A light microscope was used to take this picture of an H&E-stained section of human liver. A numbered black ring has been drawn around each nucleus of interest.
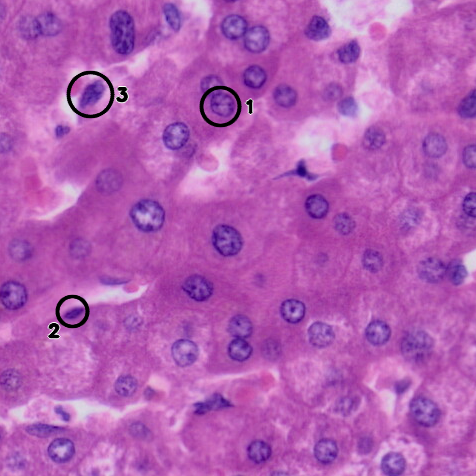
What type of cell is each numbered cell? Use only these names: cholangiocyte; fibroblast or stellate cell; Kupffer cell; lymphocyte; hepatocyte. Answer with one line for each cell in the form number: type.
1: hepatocyte
2: fibroblast or stellate cell
3: Kupffer cell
